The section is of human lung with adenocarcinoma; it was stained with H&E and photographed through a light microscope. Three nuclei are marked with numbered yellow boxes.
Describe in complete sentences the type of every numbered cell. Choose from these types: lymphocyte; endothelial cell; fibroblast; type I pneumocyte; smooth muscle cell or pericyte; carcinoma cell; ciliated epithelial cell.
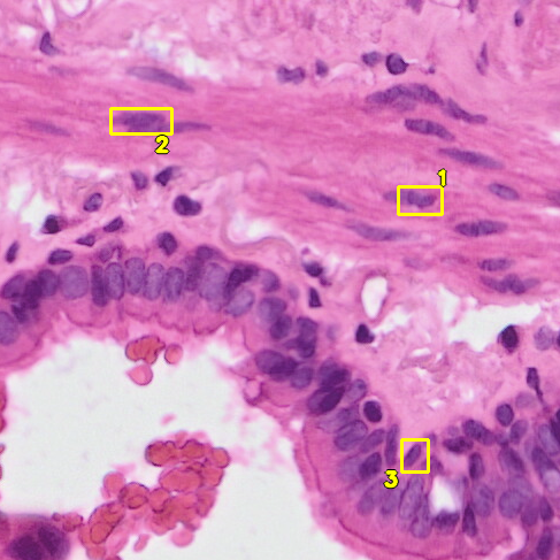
Cells 1 and 2 are smooth muscle cells or pericytes. Cell 3 is a ciliated epithelial cell.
